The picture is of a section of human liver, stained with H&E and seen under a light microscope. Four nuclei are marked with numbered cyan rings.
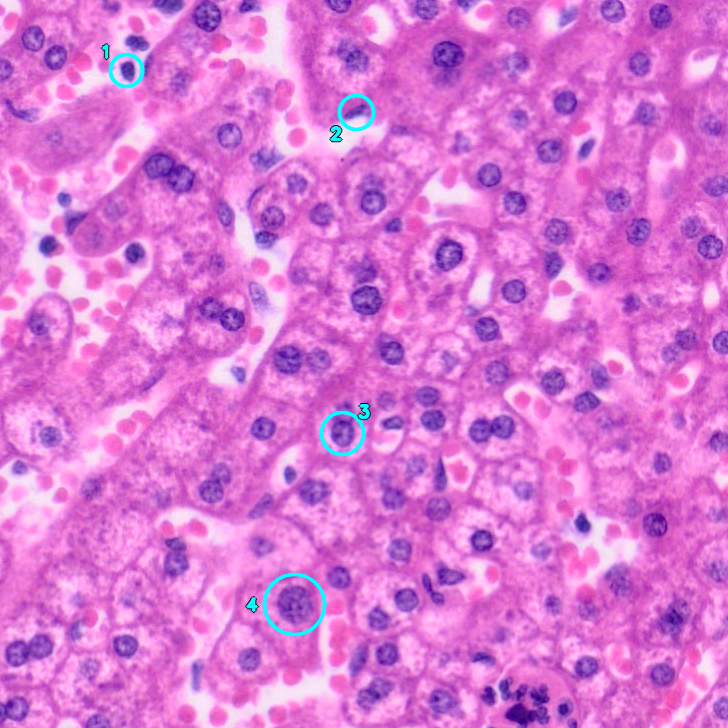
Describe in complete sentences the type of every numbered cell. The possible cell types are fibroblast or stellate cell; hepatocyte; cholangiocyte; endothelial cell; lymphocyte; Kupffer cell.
Cell 1 is a lymphocyte. Cell 2 is an endothelial cell. Cells 3 and 4 are hepatocytes.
